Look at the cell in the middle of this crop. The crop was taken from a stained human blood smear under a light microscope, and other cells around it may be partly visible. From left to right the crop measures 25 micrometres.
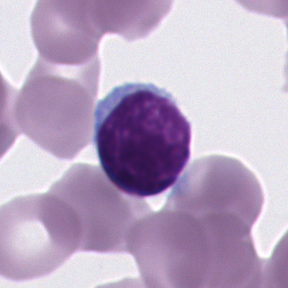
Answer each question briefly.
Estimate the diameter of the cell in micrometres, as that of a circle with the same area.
10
